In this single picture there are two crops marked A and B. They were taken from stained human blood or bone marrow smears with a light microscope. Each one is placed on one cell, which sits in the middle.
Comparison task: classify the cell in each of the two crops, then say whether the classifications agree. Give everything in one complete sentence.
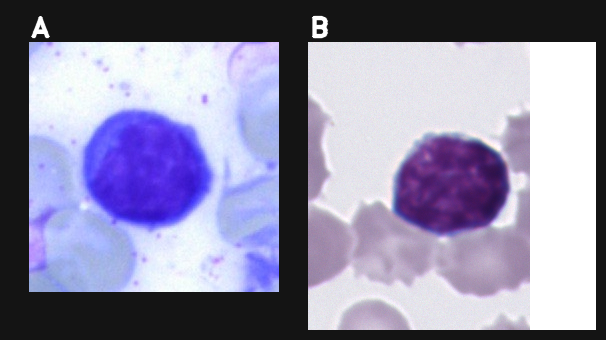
Yes, lymphocytes are what the two crops show.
